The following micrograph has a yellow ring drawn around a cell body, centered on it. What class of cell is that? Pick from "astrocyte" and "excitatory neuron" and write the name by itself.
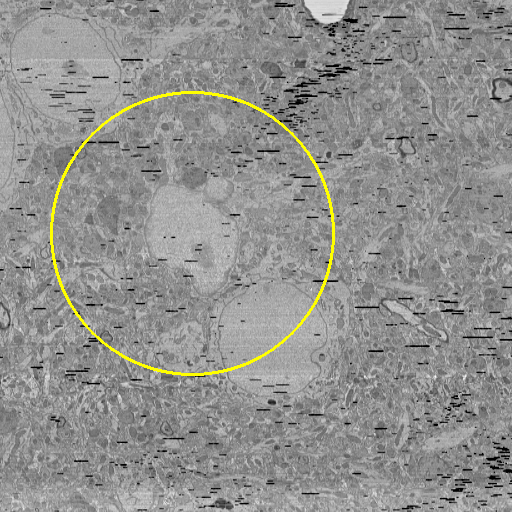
astrocyte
